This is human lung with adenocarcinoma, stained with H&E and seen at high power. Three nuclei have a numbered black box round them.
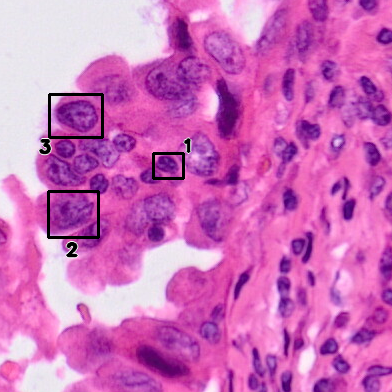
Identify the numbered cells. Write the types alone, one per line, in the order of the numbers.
lymphocyte
carcinoma cell
carcinoma cell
